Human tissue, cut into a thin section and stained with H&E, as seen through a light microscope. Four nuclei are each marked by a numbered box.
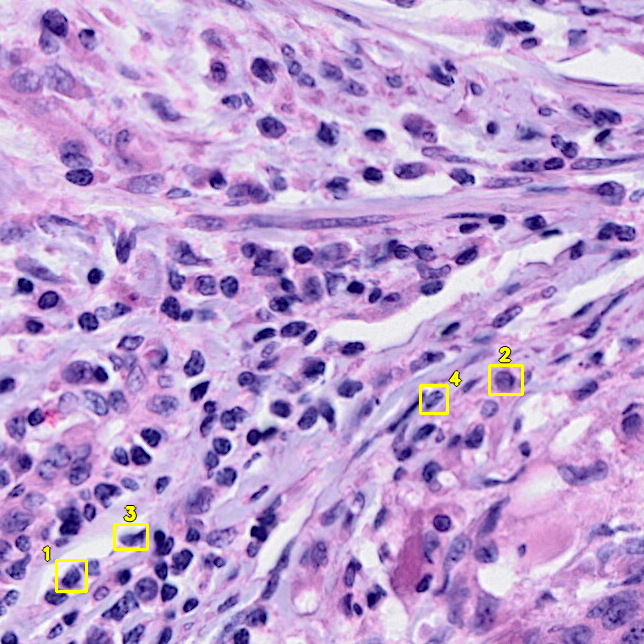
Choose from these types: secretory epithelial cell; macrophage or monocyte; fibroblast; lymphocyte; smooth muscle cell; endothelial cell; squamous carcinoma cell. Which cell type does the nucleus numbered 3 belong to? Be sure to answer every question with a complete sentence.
Cell 3 of the marked set is a lymphocyte.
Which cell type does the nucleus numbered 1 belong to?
Number 1 among the marked cells is a lymphocyte.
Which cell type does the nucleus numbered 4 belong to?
The cell carrying label 4 is identified as a lymphocyte.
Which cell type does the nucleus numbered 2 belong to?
The expected answer is that cell 2 is a macrophage or monocyte.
